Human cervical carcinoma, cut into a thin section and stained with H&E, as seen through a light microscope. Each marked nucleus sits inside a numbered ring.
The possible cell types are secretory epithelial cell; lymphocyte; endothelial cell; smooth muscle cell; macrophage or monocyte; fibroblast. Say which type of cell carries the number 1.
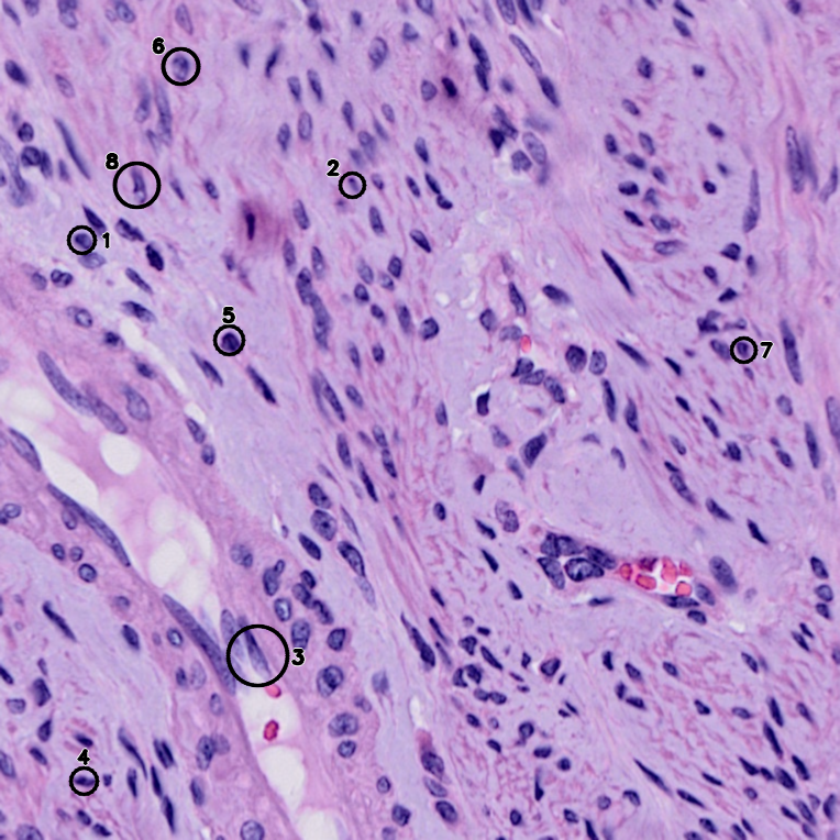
fibroblast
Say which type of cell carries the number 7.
smooth muscle cell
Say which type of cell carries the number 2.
smooth muscle cell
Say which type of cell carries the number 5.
lymphocyte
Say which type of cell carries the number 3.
endothelial cell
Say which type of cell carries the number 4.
smooth muscle cell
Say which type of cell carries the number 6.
smooth muscle cell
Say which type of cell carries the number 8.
smooth muscle cell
